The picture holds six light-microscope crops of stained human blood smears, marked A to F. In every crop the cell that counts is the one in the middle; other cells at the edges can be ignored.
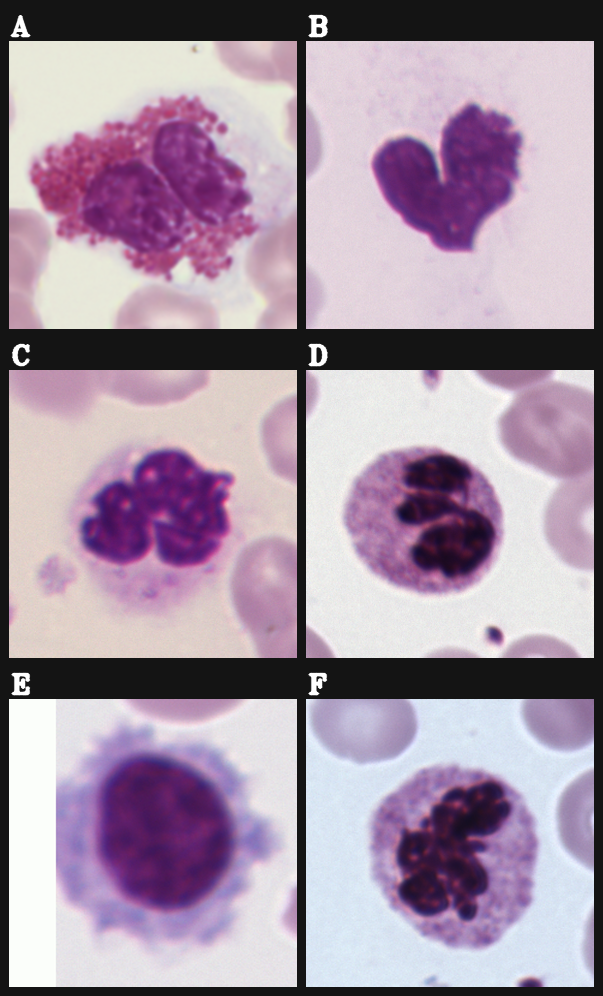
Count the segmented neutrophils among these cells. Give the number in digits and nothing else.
3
